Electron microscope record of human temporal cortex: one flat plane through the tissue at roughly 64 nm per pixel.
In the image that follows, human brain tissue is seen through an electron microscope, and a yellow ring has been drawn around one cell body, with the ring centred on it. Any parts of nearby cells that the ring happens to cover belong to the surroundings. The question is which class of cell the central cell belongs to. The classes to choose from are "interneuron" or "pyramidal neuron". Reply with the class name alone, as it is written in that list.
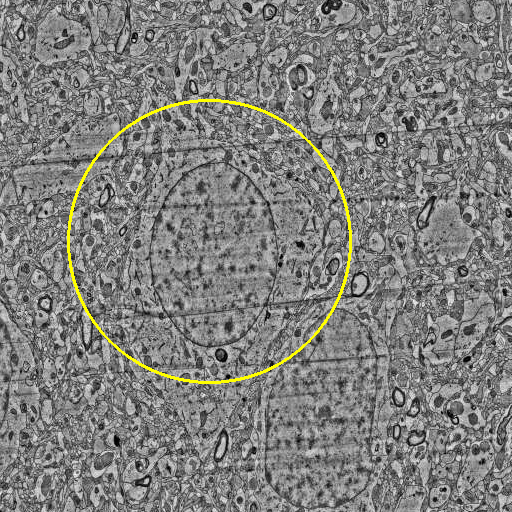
pyramidal neuron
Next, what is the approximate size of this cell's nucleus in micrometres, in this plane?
Approximately 12 by 9 micrometers in this plane.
